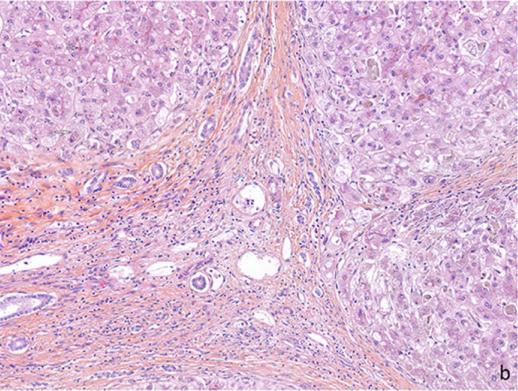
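This is liver in which a broad fibrous septum with pink collagen runs between nodules of hepatocytes. The septum contains small bile duct-like tubules with open lumina, lined by cuboidal cells, and many scattered small round nuclei of inflammatory cells. The hepatocytes on either side are large and polygonal with pink cytoplasm and round nuclei, and those beside the septum look swollen and pale. Tiny brownish deposits of bile can be made out here and there among the hepatocytes. The normal lobular plates are lost, replaced by nodules separated by scar tissue.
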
